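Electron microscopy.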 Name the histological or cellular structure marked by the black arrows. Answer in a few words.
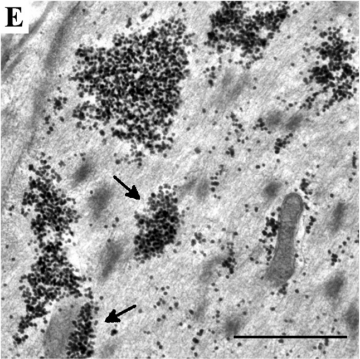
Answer: Glycogen deposits.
